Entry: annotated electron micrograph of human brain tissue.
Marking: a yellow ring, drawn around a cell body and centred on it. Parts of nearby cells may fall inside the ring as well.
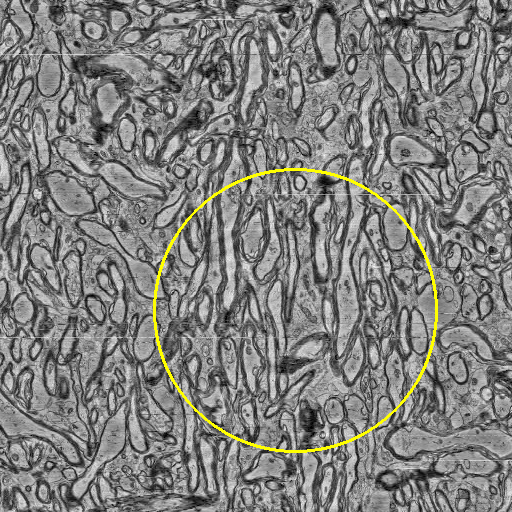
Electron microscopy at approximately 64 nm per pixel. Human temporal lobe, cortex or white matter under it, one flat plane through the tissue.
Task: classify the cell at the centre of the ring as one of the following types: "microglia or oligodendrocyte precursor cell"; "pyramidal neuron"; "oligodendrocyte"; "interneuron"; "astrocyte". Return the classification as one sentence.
The marked cell is classified as a microglial cell or oligodendrocyte precursor cell.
